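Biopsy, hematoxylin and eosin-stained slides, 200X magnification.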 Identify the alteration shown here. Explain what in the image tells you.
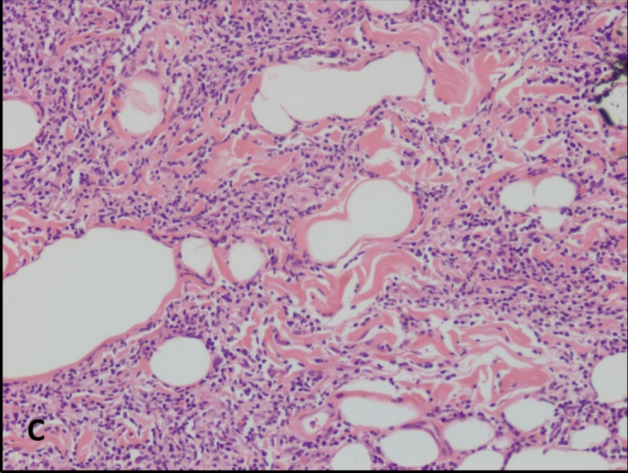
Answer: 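Numerous small dark round nuclei fill the spaces between pink collagen bundles. Round clear fat spaces are scattered among the cells.
Hence: dermal infiltrate.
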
